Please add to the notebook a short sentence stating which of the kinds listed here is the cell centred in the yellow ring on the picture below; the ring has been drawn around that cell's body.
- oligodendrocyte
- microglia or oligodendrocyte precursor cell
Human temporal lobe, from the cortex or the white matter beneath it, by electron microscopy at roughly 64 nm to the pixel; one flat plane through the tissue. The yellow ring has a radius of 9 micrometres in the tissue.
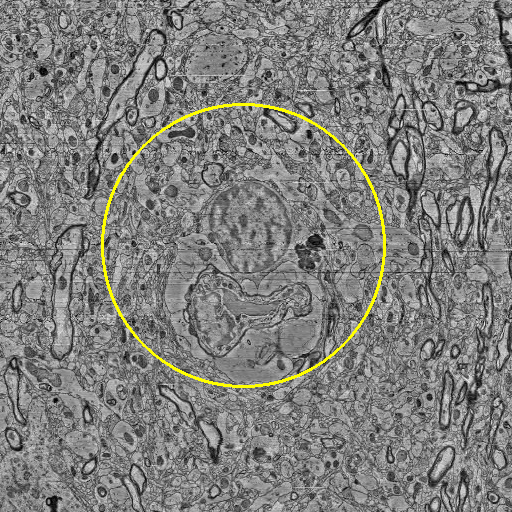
The cell centred in the yellow ring is an oligodendrocyte.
